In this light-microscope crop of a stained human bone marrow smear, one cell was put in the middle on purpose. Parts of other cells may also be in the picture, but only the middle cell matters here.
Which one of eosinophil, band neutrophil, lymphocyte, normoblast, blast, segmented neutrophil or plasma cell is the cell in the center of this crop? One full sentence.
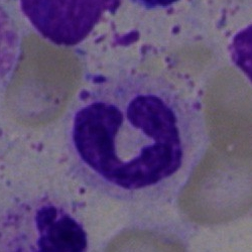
By type, the central cell of the crop is a segmented neutrophil.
